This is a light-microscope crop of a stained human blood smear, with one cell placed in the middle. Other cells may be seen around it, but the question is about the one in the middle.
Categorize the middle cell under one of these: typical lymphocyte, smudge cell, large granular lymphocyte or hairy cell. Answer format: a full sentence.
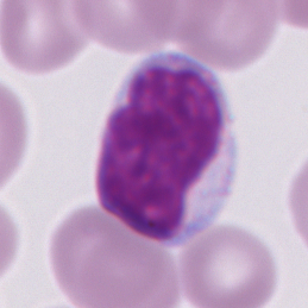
What the crop centres on is a large granular lymphocyte.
